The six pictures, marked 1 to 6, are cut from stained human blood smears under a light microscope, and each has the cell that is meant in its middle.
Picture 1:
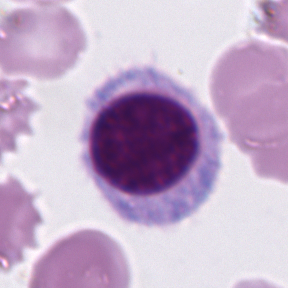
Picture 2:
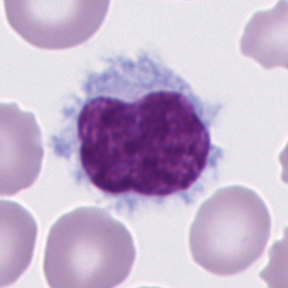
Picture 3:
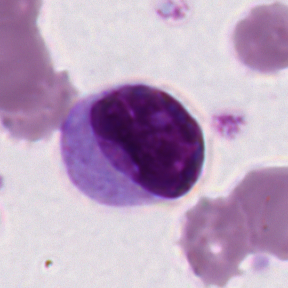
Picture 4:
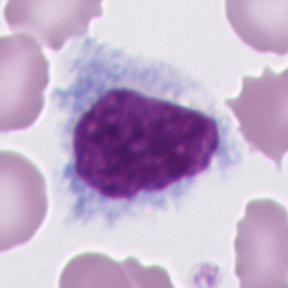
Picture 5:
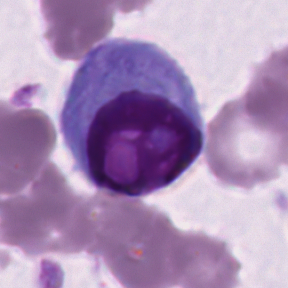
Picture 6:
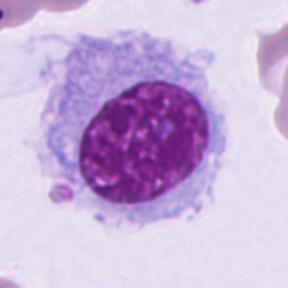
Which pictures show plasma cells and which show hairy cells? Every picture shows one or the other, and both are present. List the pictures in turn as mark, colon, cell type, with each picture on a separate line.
1: hairy cell
2: hairy cell
3: plasma cell
4: hairy cell
5: plasma cell
6: plasma cell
